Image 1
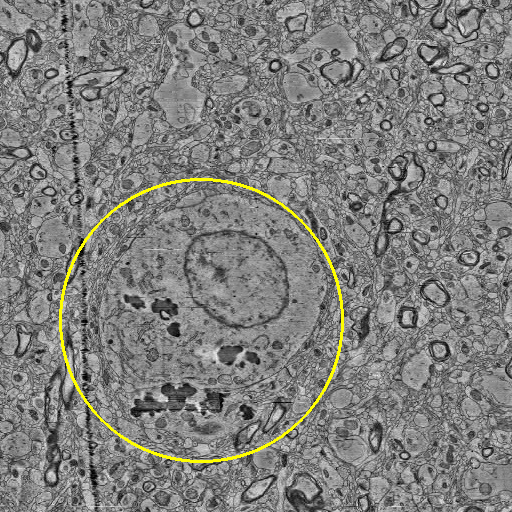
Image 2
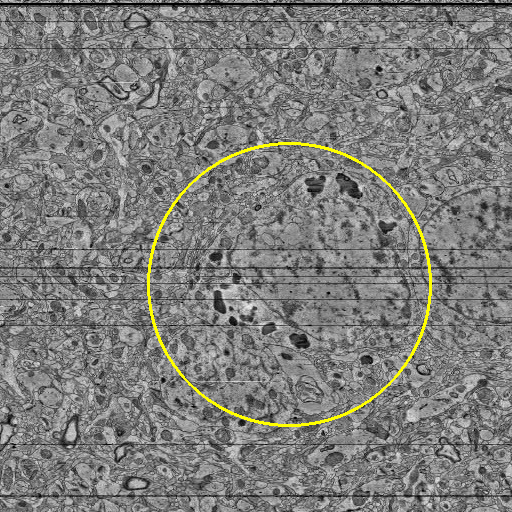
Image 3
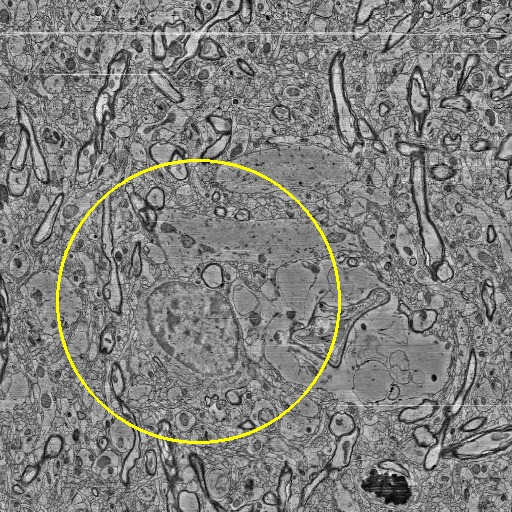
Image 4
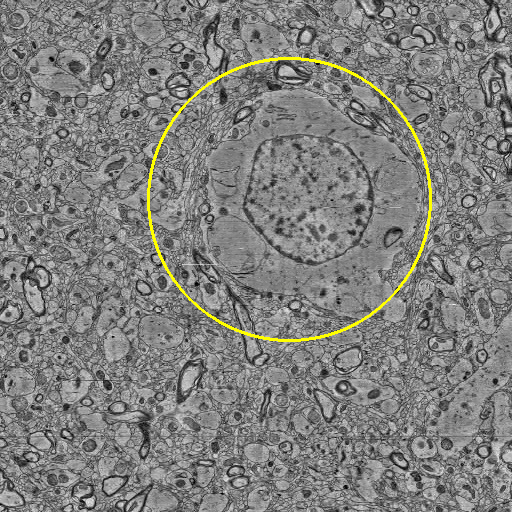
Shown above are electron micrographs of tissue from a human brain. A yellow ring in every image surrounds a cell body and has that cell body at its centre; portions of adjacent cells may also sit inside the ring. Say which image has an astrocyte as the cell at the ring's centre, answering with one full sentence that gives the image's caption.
The image whose ring is centred on the requested cell is Image 4.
